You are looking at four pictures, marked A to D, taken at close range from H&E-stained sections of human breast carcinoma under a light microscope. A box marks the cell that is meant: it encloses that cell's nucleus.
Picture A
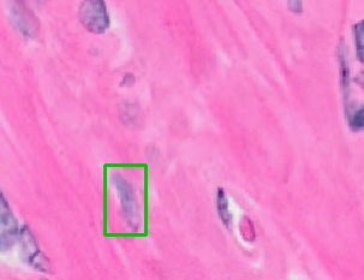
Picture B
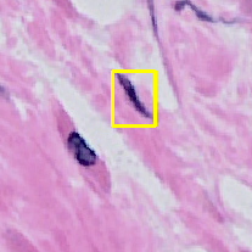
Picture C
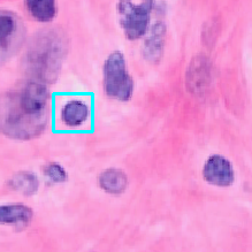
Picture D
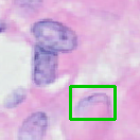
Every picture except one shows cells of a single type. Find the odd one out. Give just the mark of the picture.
C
